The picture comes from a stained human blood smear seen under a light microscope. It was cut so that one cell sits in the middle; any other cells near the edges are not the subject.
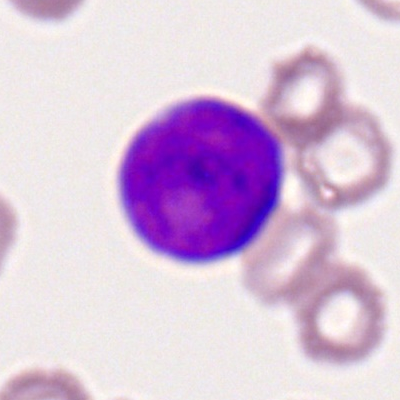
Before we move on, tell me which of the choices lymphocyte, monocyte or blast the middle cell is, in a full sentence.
Where the crop is centred, there is a blast.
